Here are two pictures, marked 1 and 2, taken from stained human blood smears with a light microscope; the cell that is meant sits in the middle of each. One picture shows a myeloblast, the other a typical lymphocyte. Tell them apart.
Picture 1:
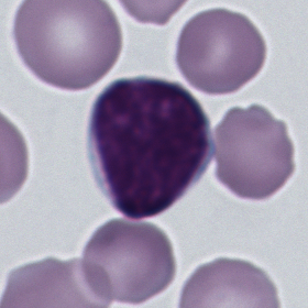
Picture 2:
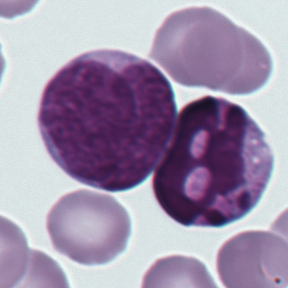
1: typical lymphocyte
2: myeloblast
